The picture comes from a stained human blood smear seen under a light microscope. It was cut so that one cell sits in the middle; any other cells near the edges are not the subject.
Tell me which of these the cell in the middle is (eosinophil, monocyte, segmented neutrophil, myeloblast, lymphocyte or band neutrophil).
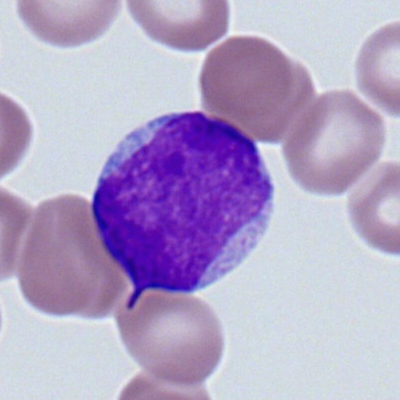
myeloblast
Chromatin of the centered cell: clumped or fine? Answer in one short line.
Coarse clumps are absent, and the chromatin is fine throughout.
